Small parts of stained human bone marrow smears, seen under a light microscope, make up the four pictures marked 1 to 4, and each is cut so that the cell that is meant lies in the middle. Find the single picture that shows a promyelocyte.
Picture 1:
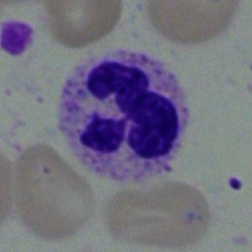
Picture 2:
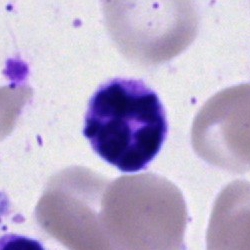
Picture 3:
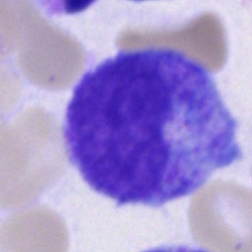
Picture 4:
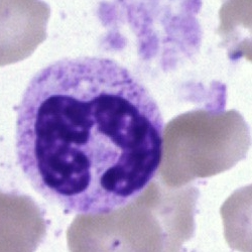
3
